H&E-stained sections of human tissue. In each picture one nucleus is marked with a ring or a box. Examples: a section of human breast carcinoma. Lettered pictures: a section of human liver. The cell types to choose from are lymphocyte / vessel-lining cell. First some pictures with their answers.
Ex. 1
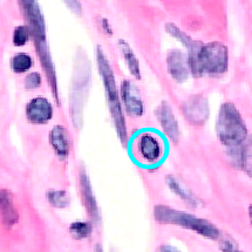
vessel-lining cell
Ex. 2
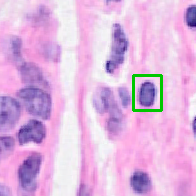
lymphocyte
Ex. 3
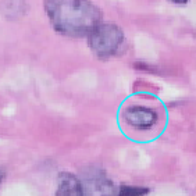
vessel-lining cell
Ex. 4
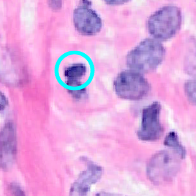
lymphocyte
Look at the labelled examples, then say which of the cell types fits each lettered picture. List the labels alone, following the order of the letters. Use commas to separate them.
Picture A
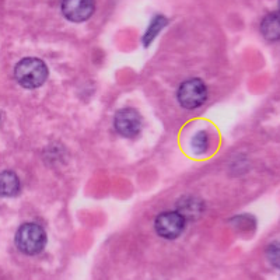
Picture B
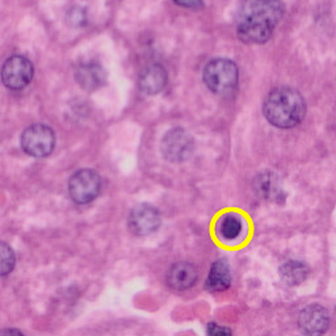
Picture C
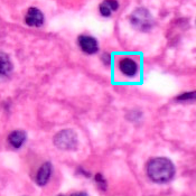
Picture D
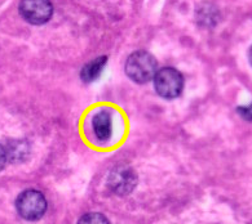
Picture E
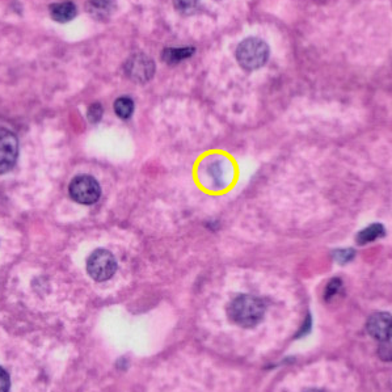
lymphocyte, lymphocyte, lymphocyte, lymphocyte, vessel-lining cell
